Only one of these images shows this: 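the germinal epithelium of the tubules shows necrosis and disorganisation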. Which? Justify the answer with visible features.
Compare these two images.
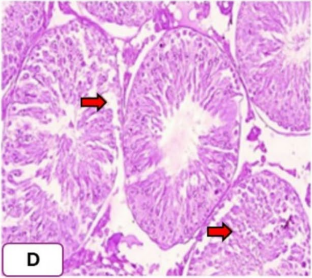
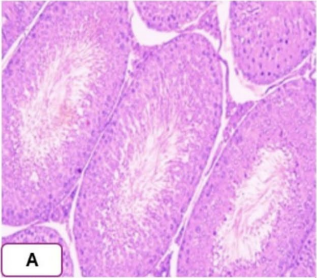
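The first image. First image: tubular epithelium is irregular, with loosened cells and gaps between them. Second image: tubular epithelium is evenly layered and compact around the lumens.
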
